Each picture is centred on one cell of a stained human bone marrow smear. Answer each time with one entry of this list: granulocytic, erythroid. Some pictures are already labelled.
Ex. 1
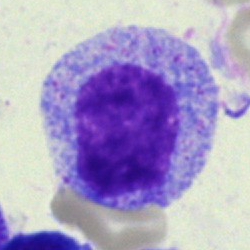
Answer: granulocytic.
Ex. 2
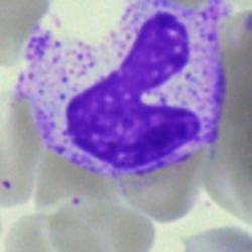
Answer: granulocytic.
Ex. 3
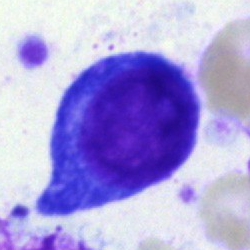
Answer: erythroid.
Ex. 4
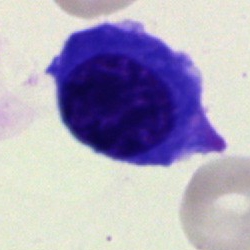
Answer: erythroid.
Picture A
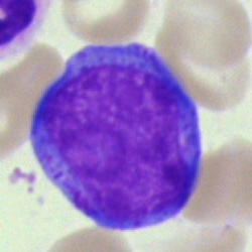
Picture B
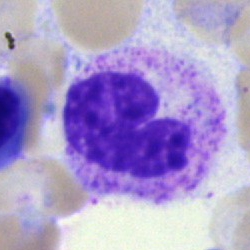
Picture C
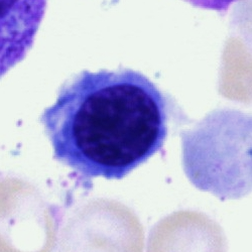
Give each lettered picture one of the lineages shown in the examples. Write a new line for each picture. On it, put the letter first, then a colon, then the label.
A: erythroid.
B: granulocytic.
C: erythroid.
